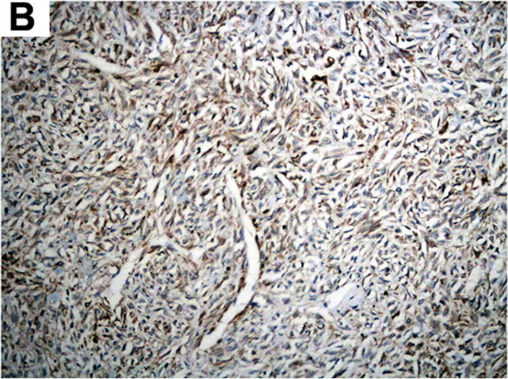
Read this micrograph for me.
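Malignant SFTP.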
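The nuclei are elongated to oval and counterstained blue, and the cells lie close together with little intervening stroma. A fine brown stain lies in the cytoplasm and along the cell outlines of many cells, giving a diffuse brownish web across the field. Thin, elongated and branching vascular channels with empty lumens run through the cell sheet, their walls appearing as slender pale bands between the crowded tumor cells.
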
